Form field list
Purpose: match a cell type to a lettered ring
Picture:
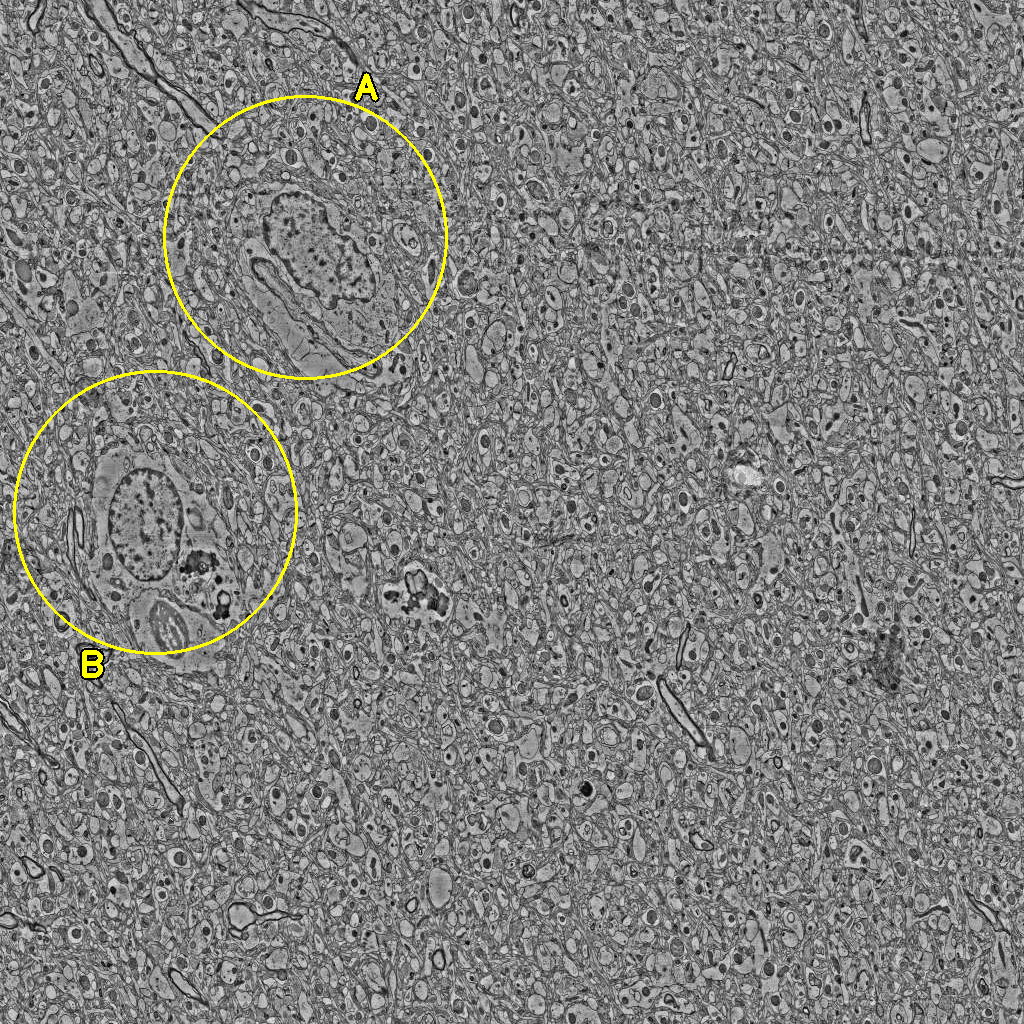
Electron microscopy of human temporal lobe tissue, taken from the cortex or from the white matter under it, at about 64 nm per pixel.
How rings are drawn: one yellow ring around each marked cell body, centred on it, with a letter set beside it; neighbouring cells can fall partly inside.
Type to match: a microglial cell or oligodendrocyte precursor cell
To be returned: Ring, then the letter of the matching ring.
Ring A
